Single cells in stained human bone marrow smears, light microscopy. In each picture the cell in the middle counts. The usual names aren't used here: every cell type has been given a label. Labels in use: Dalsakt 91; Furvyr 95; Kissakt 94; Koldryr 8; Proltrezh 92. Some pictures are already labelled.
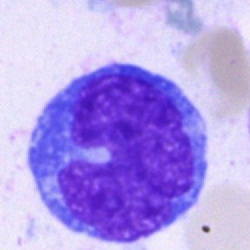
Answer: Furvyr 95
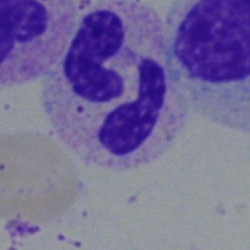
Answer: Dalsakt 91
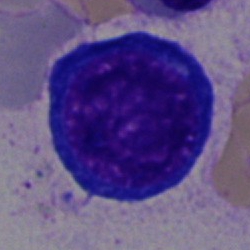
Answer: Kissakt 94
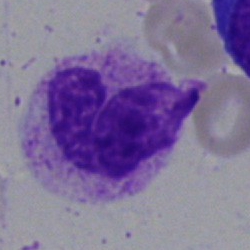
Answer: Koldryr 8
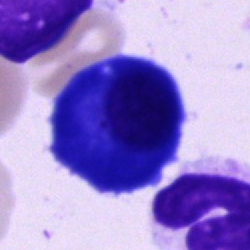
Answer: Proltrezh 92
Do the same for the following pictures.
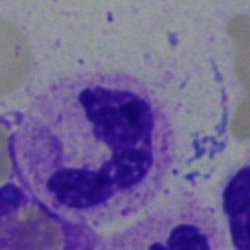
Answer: Dalsakt 91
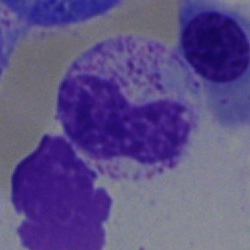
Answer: Koldryr 8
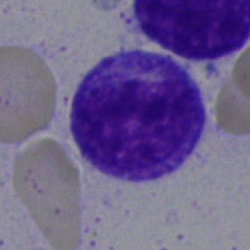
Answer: Koldryr 8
